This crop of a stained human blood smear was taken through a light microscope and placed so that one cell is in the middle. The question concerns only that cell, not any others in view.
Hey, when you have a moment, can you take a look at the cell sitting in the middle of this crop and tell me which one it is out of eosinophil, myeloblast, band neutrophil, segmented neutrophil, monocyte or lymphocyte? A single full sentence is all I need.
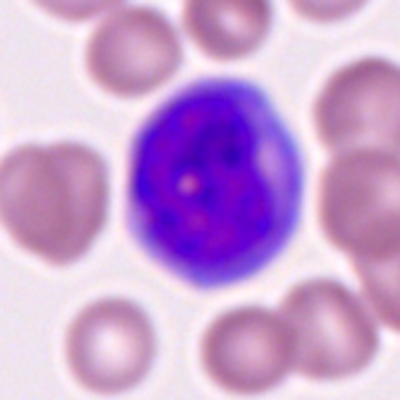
The center cell of this crop is a monocyte.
